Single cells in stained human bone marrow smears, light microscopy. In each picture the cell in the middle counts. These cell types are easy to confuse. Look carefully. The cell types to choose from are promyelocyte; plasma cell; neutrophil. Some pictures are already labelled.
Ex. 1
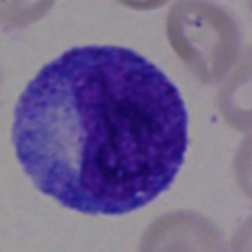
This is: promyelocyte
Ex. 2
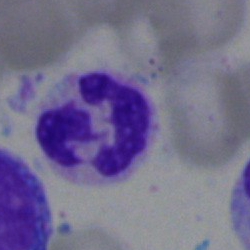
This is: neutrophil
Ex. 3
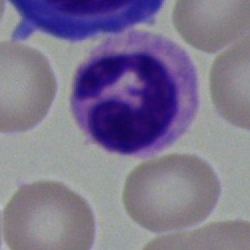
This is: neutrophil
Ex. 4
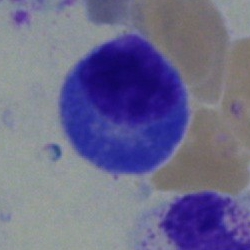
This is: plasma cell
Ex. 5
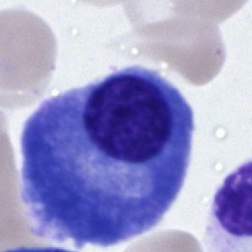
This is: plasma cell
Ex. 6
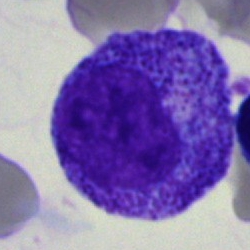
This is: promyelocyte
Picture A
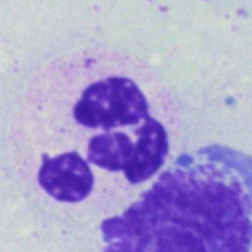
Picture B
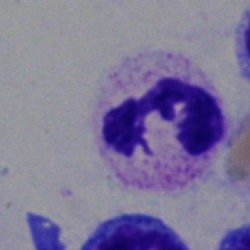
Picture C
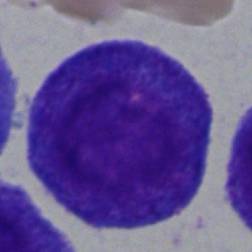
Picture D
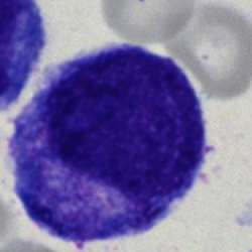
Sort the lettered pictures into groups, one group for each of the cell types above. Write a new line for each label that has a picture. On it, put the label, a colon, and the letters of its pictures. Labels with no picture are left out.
promyelocyte: C, D
neutrophil: A, B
